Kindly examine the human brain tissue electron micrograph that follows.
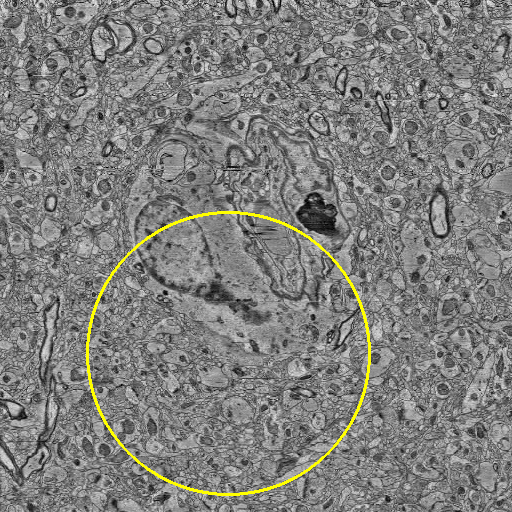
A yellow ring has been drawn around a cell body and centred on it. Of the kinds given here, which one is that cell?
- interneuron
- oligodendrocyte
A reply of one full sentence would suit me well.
The micrograph's ringed cell, the one at the ring's centre, is an oligodendrocyte.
